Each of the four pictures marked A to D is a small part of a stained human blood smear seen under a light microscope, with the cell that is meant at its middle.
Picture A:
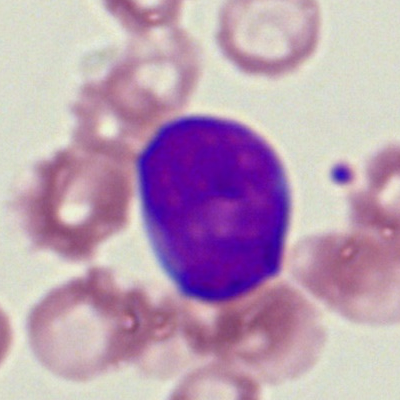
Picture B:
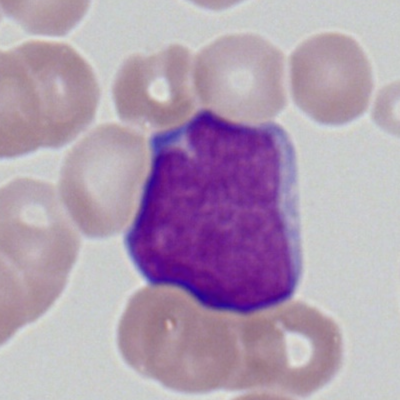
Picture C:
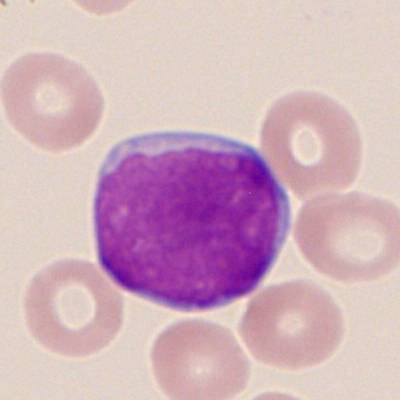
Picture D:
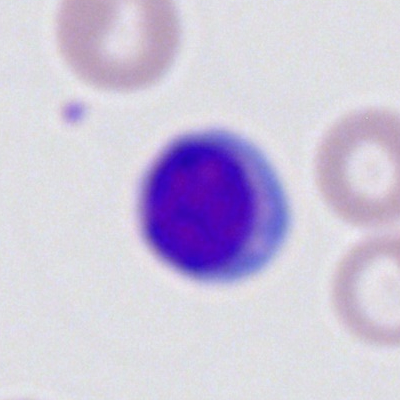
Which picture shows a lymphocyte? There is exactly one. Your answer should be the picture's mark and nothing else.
D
